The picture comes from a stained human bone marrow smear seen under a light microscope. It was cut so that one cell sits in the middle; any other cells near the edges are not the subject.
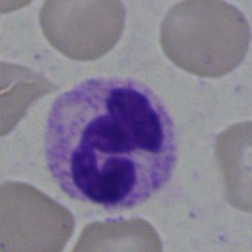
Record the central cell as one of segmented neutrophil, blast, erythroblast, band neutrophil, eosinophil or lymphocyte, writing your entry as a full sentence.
In this smear crop, the middle cell is a segmented neutrophil.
